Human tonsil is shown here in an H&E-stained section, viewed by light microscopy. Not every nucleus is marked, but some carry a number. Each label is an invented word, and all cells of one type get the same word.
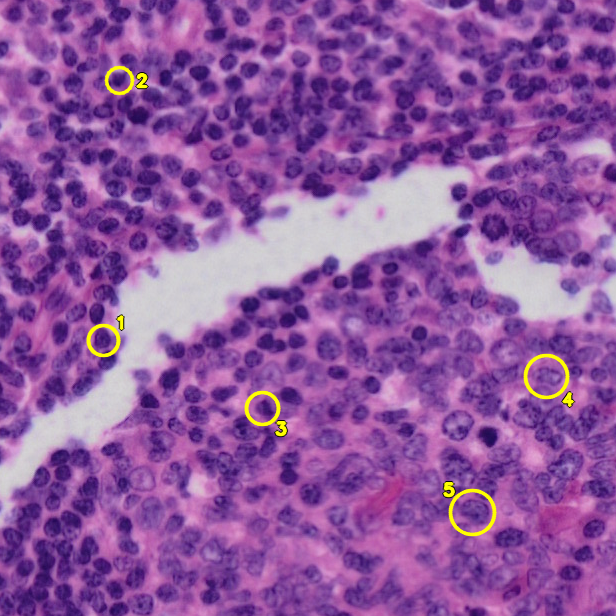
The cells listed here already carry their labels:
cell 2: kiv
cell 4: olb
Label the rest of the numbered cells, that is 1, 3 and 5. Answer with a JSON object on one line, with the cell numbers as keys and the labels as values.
{"1": "kiv", "3": "olb", "5": "olb"}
